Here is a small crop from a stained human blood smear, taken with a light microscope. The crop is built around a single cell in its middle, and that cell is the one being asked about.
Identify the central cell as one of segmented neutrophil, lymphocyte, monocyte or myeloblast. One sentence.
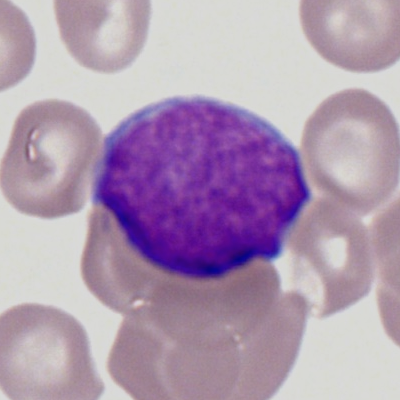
Centrally within this crop lies a myeloblast.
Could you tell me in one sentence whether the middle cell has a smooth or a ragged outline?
You can see a smooth boundary, with no projections sticking out.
